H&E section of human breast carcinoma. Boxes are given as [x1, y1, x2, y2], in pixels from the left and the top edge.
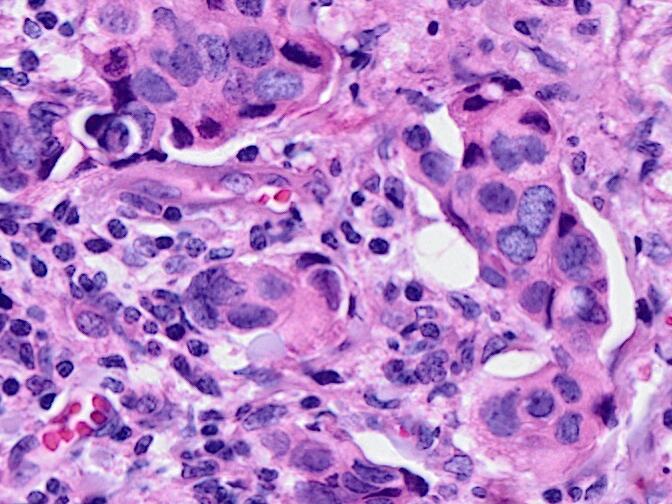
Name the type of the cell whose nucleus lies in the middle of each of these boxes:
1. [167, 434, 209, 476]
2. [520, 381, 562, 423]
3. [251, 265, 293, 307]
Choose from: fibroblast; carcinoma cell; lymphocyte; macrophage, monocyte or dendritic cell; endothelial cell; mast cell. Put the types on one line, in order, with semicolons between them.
lymphocyte; carcinoma cell; carcinoma cell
